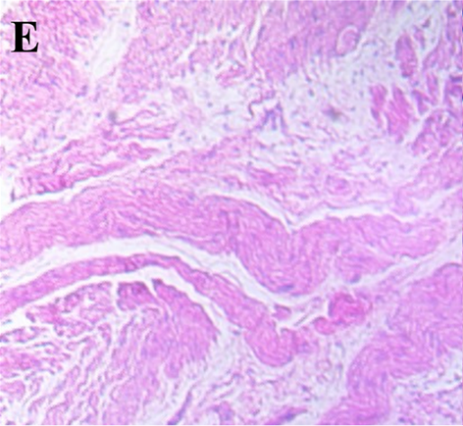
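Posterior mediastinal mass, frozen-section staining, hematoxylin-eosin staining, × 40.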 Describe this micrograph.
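Low-power view of tumour tissue made of wavy fascicles of pink fibrillary material. Broad bands of denser pink fibres run in undulating streams across the field, separated by paler, looser, almost white areas in which fibres are thinner and more spread apart. The fascicles curve and interweave rather than running straight. At this magnification individual cells are hard to make out; only scattered faint nuclei can be sensed within the pink strands. The overall pattern is that of a fibrous, nerve-like tissue with alternating compact and loose zones.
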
